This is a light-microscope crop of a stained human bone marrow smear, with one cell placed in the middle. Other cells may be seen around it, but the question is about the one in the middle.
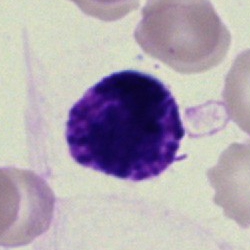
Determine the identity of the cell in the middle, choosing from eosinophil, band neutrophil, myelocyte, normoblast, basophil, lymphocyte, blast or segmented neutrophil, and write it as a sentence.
The centrally placed cell is classified as a basophil.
